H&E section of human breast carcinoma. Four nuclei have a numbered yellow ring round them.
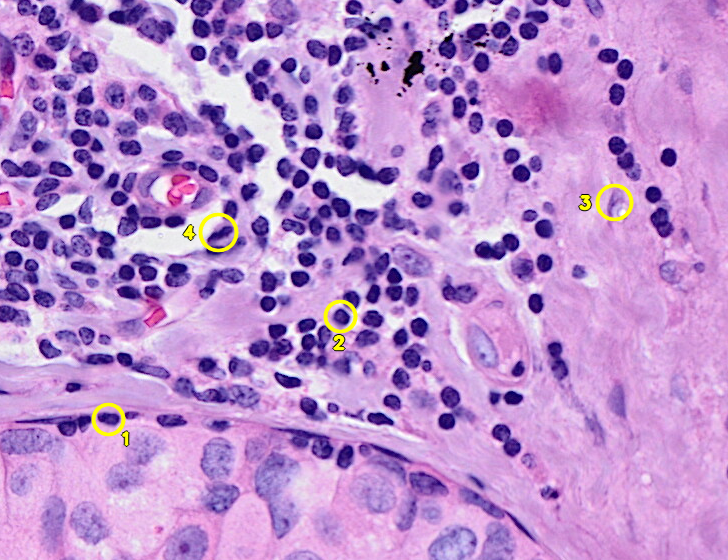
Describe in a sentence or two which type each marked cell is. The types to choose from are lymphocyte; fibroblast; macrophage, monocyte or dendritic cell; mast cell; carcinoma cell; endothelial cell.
Cells 1, 2 and 4 are lymphocytes. Cell 3 is a fibroblast.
